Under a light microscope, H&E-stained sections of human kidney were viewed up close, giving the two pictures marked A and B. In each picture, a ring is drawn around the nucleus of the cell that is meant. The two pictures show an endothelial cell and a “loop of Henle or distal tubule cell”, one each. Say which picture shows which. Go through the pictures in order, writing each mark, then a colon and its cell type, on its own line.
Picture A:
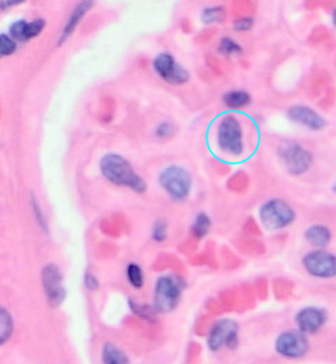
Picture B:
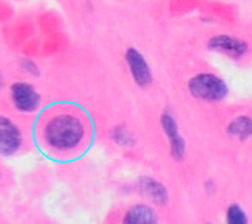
A: endothelial cell
B: loop of Henle or distal tubule cell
